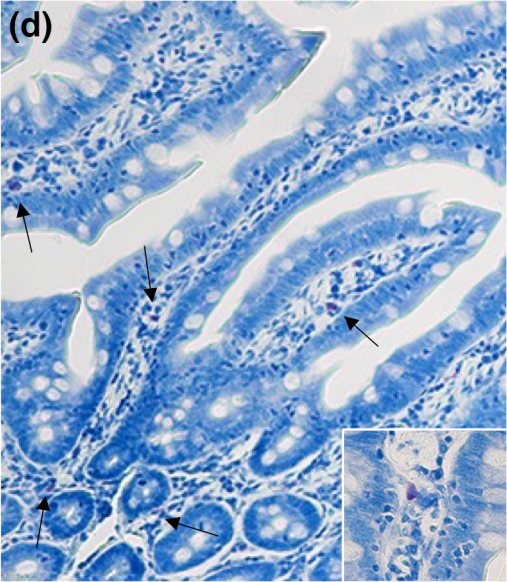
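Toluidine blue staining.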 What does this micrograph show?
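In blue-stained mucosa with villi and crypts, a few mast cells stand out in the connective tissue as purple-violet cells among the blue nuclei. They lie singly within the cores of the villi and between the crypts. The columnar epithelium around them appears blue, with pale, unstained goblet cells. The inset shows one mast cell at higher magnification, with purple granular cytoplasm.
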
